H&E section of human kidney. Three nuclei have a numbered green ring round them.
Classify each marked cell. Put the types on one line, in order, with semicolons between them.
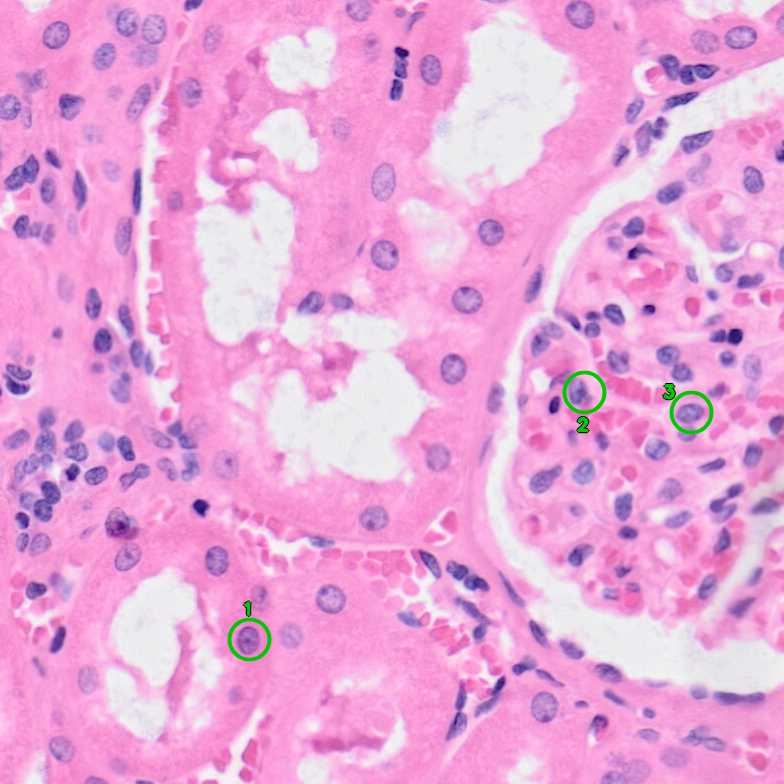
proximal tubule cell; endothelial cell; endothelial cell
